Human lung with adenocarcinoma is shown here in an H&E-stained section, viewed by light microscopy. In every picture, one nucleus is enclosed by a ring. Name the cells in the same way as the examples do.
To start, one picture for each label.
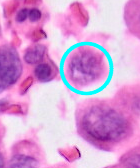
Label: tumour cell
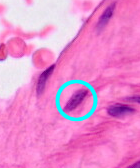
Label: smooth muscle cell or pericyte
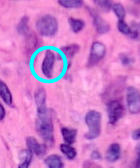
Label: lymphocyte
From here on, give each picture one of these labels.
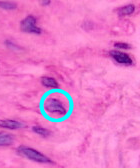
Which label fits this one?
smooth muscle cell or pericyte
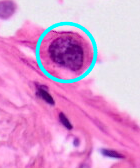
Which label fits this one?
tumour cell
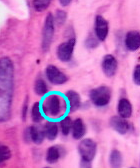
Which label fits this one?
lymphocyte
